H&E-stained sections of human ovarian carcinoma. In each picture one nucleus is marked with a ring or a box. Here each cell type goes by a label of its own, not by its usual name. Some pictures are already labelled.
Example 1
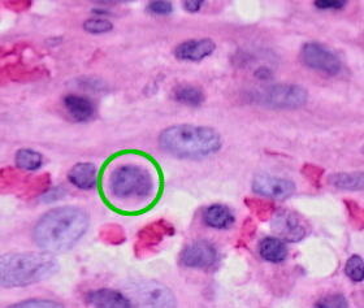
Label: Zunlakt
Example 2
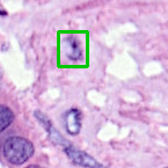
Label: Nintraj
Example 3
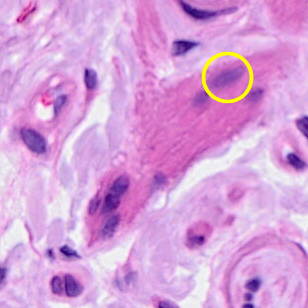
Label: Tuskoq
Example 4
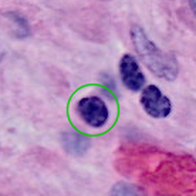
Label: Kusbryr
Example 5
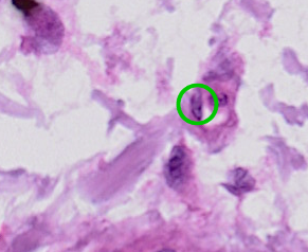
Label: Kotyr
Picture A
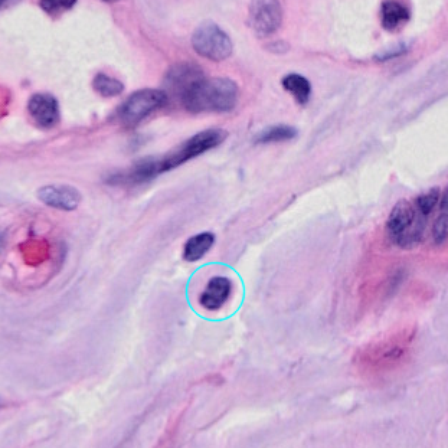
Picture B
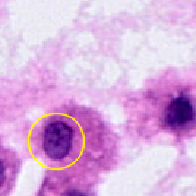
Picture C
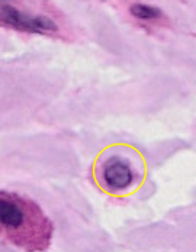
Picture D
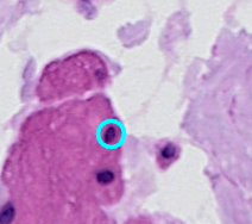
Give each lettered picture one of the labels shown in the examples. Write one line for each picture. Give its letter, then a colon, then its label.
A: Kusbryr
B: Zunlakt
C: Zunlakt
D: Tuskoq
